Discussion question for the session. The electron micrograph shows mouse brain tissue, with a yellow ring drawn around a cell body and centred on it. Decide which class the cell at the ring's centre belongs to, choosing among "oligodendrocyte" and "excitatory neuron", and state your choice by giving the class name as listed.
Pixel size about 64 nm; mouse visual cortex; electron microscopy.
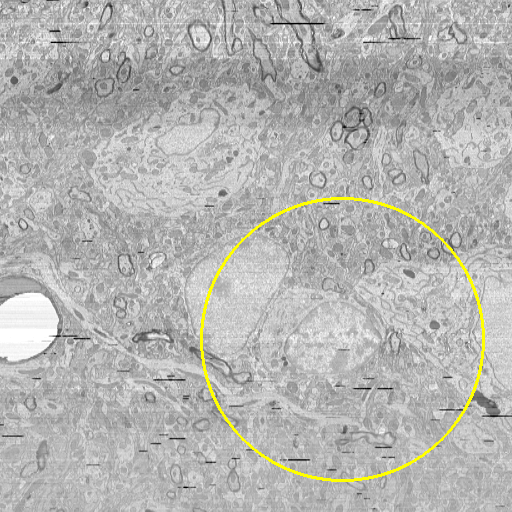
oligodendrocyte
